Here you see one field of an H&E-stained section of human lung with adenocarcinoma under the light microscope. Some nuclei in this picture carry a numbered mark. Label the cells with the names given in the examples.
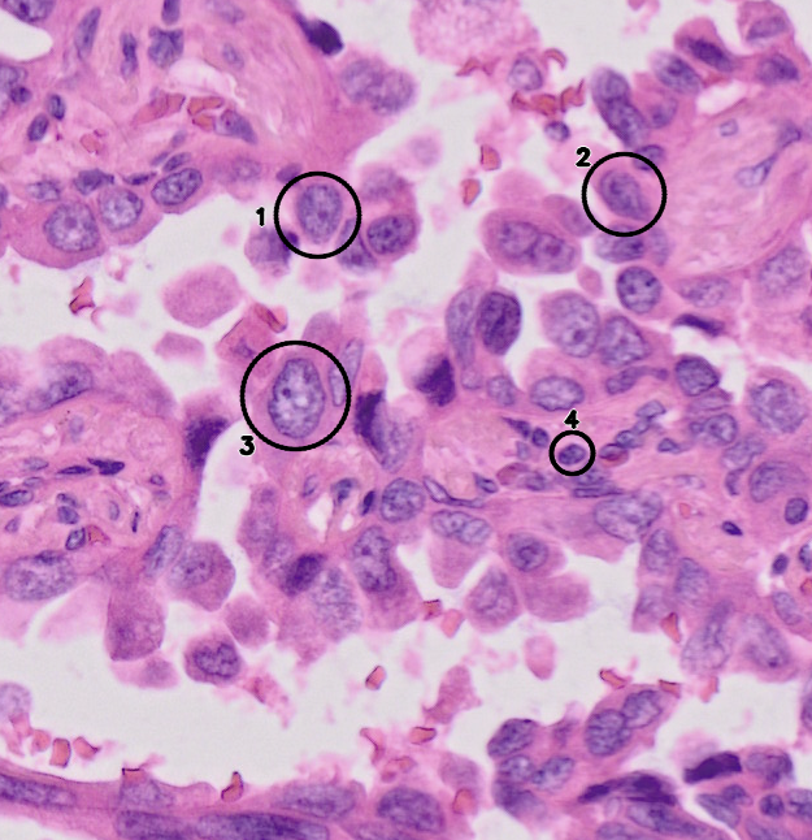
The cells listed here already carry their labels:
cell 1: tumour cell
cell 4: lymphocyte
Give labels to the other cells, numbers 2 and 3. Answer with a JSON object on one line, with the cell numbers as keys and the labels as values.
{"2": "tumour cell", "3": "tumour cell"}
